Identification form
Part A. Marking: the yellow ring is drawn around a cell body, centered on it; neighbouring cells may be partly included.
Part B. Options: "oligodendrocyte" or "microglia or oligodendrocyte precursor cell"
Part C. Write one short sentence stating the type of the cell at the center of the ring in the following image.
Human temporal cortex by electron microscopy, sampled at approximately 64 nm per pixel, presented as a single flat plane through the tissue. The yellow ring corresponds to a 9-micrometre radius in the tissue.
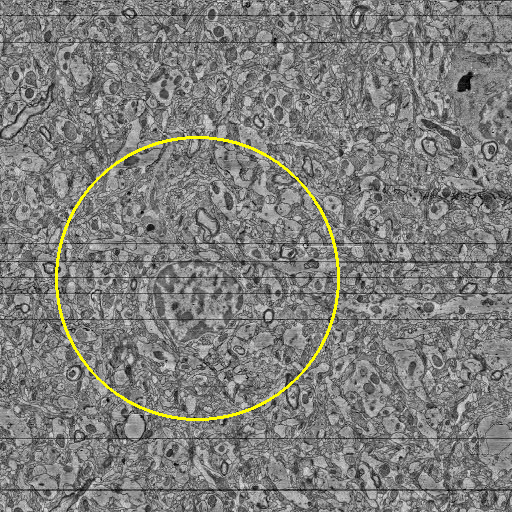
The center of the ring holds a microglial cell or oligodendrocyte precursor cell.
